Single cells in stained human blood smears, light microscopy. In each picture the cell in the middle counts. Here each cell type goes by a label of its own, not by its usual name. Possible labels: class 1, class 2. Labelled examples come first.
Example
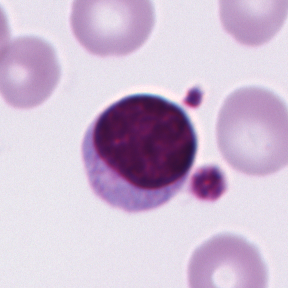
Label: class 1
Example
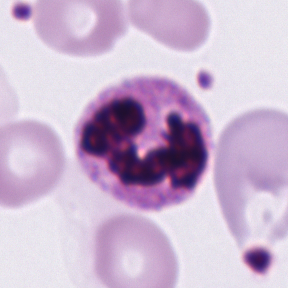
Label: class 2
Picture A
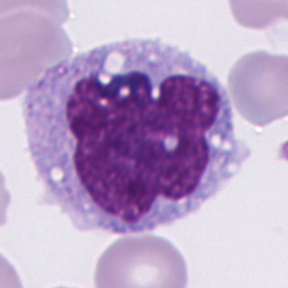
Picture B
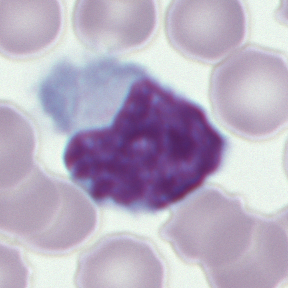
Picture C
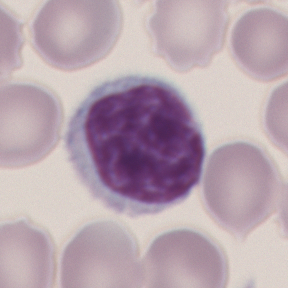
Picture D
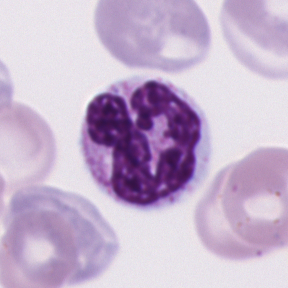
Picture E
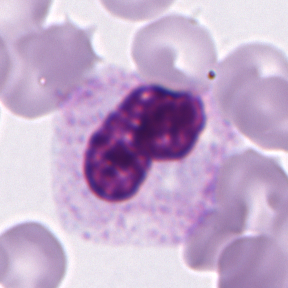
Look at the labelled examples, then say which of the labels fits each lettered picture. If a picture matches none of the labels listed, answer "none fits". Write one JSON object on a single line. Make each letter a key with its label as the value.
{"A": "none fits", "B": "class 1", "C": "class 1", "D": "class 2", "E": "class 2"}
